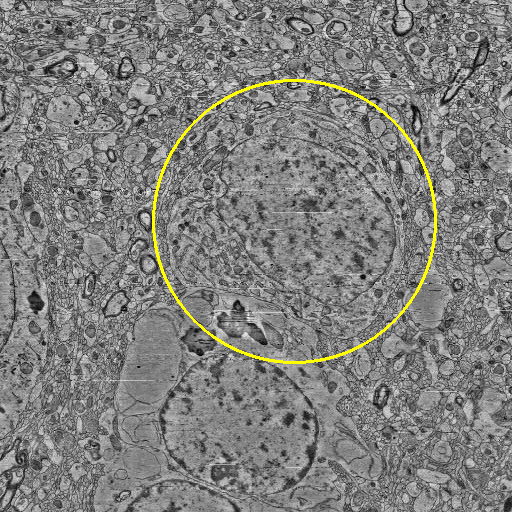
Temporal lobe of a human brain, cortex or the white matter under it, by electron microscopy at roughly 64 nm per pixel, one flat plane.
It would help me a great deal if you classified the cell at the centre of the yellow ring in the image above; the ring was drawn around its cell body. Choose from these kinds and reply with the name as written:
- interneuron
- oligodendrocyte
interneuron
